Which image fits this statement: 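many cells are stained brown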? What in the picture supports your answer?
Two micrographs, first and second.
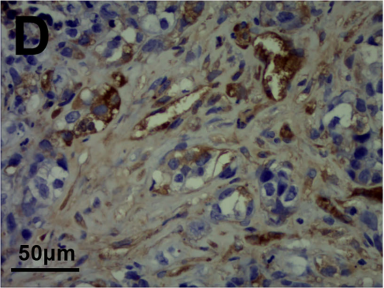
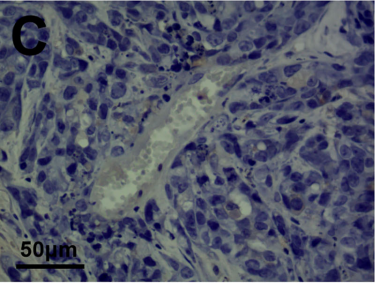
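Second image: almost all cells are blue, with brown stain scarce and faint. First image: numerous brown-stained cells and channel linings scattered across the field.
The first image.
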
